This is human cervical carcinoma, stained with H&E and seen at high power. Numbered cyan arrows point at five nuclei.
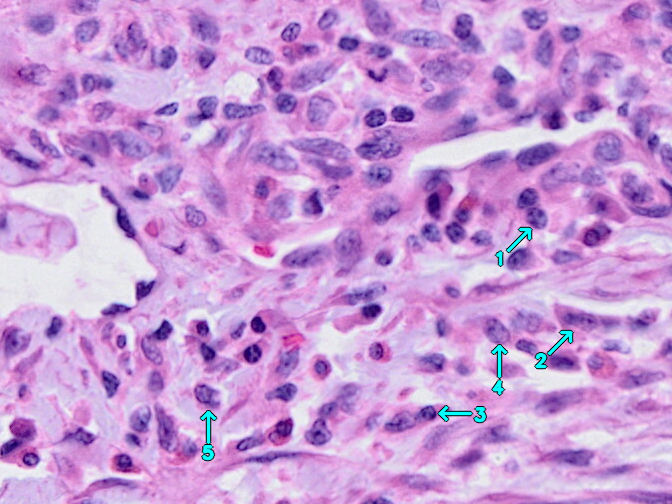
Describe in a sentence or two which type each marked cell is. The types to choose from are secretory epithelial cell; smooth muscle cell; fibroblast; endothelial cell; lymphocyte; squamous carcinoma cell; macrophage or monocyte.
Cell 1 is a lymphocyte, cell 2 is a macrophage or monocyte, cell 3 is a lymphocyte, cell 4 is a macrophage or monocyte and cell 5 is a macrophage or monocyte.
